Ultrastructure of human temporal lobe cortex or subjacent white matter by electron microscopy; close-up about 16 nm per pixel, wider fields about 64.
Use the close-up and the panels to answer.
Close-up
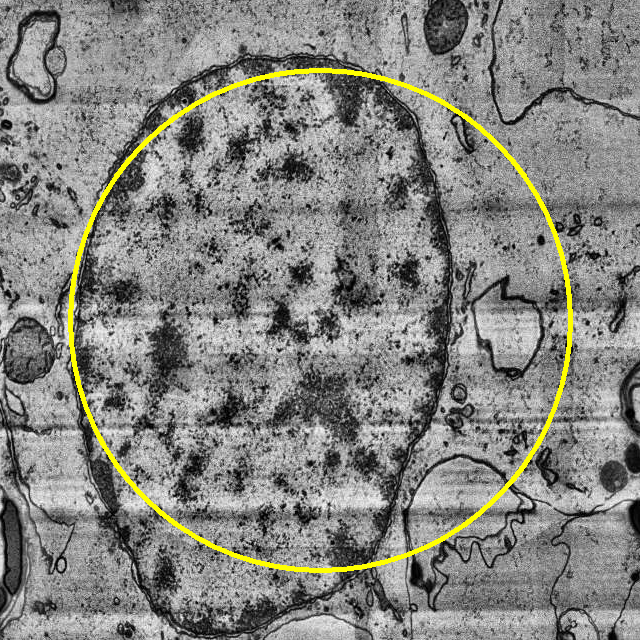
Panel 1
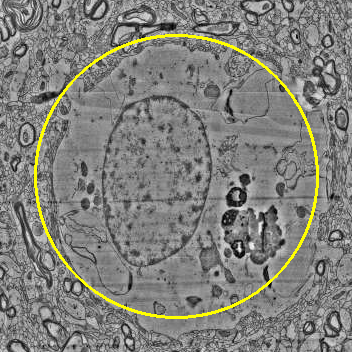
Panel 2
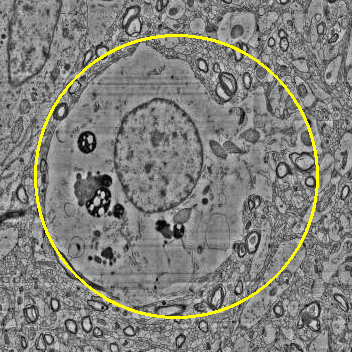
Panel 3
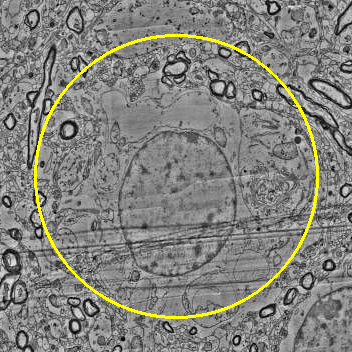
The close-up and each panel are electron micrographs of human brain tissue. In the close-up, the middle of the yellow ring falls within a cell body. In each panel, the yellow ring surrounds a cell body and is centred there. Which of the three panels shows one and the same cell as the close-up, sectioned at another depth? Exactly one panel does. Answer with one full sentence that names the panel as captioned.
The cell enlarged for the close-up is ringed in Panel 1.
